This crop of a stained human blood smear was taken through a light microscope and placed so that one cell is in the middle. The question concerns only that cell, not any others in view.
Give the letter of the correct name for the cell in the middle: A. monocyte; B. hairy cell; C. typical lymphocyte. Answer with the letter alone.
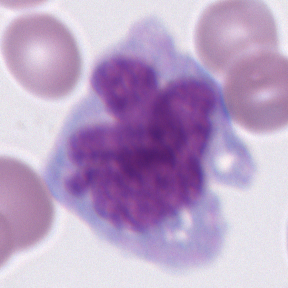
A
